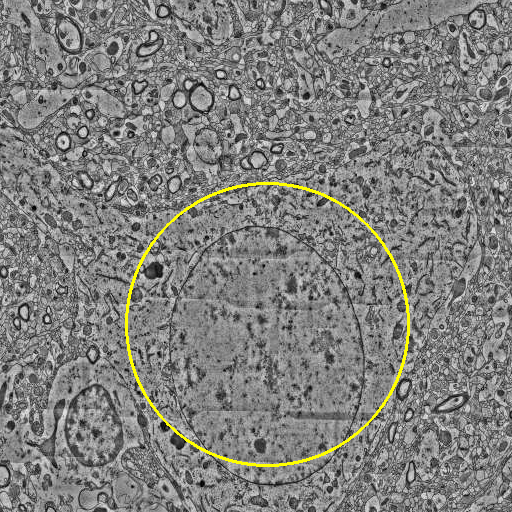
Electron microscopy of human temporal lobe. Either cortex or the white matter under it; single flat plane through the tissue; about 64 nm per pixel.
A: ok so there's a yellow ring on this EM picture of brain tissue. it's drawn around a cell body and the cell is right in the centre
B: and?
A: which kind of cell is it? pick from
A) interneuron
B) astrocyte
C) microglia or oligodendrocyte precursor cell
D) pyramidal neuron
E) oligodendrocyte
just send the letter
D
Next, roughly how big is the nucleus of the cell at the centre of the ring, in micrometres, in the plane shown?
About 17 by 13 micrometers, in this plane.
